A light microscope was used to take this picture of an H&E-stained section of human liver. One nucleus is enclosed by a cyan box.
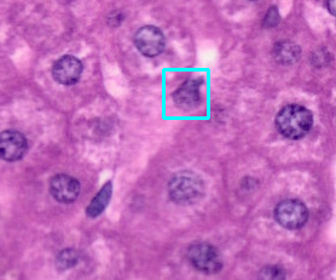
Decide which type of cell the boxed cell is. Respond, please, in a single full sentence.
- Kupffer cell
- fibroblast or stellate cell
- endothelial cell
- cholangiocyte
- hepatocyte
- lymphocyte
The expected answer is simply that the boxed cell is an endothelial cell.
